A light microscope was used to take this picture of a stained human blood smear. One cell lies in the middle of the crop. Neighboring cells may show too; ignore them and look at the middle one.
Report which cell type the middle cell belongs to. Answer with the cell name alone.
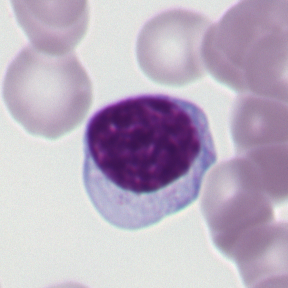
large granular lymphocyte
